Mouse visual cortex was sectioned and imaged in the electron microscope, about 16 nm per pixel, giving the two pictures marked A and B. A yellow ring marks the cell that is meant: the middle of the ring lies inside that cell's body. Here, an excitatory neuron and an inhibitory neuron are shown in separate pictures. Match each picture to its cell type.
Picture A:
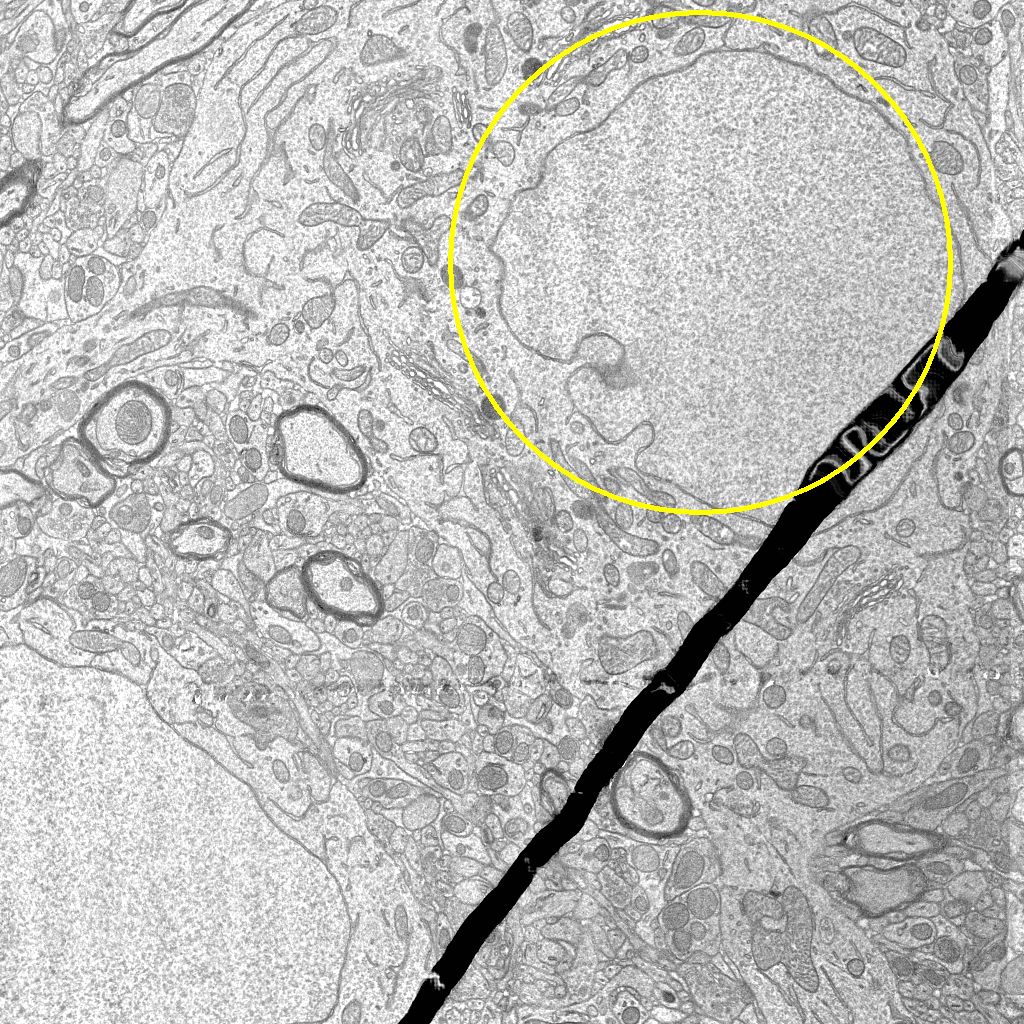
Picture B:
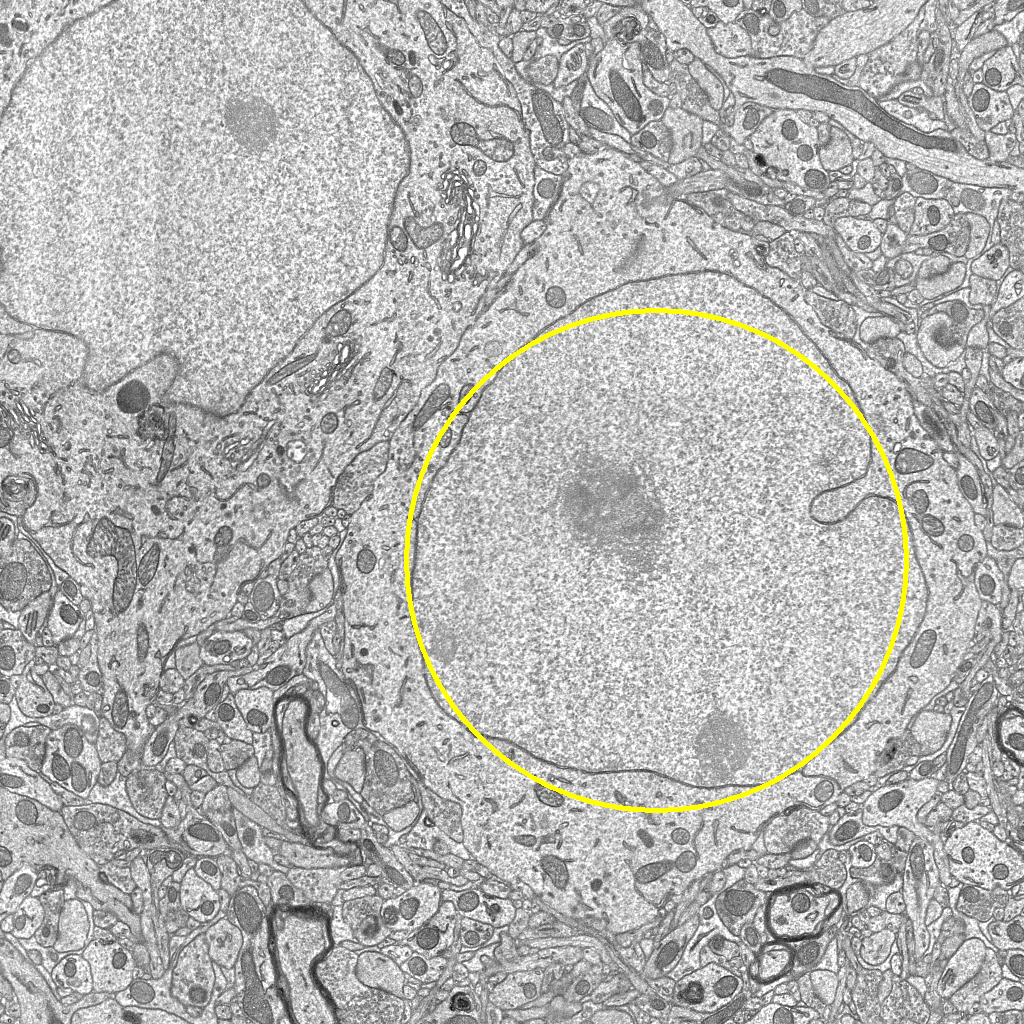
The cell in picture A is an inhibitory neuron, and the one in picture B is an excitatory neuron.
